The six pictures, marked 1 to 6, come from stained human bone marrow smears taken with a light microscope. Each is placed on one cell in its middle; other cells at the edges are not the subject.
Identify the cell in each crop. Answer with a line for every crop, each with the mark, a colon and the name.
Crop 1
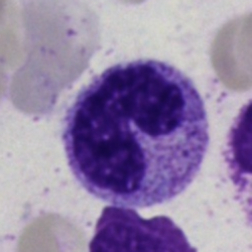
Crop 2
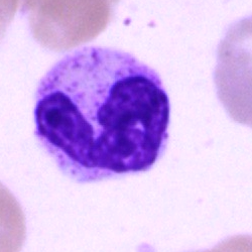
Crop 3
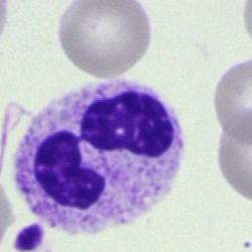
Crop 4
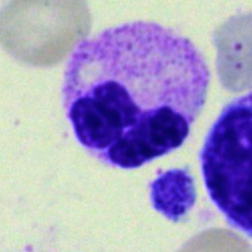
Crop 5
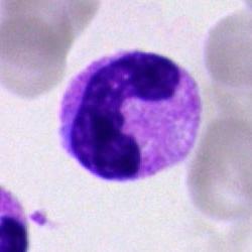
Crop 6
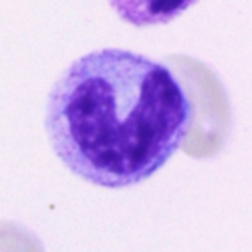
1: band neutrophil
2: segmented neutrophil
3: segmented neutrophil
4: segmented neutrophil
5: band neutrophil
6: band neutrophil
